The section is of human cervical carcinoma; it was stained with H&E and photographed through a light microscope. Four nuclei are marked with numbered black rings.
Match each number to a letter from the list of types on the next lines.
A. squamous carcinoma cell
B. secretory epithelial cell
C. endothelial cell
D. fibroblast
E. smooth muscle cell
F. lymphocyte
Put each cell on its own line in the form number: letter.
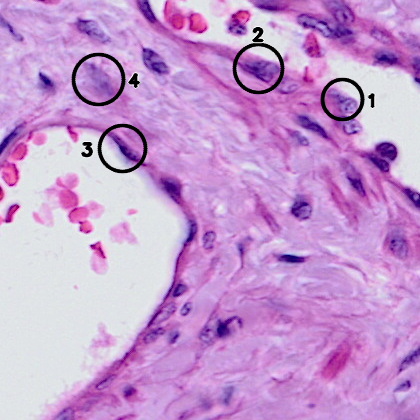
1: C
2: C
3: C
4: D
